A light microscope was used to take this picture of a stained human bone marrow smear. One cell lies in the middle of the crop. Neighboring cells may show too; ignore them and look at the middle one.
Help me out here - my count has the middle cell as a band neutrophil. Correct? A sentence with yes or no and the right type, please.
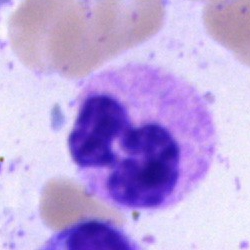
No, sorry, the middle cell is a segmented neutrophil rather than a band neutrophil.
